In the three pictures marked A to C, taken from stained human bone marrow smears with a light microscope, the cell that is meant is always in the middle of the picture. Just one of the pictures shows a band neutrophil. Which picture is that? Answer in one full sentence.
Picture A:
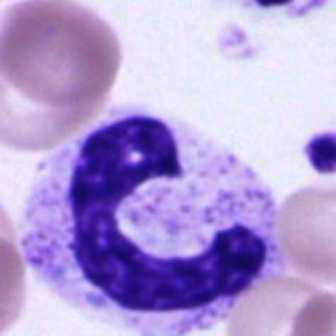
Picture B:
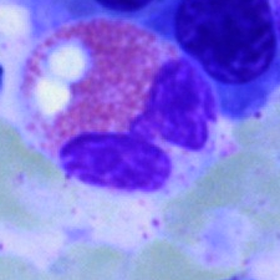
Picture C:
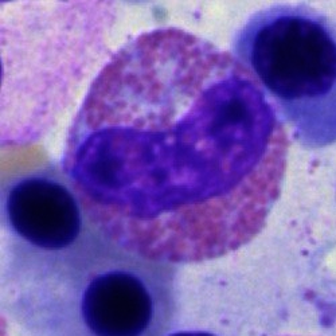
Picture A is the one that shows the band neutrophil.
